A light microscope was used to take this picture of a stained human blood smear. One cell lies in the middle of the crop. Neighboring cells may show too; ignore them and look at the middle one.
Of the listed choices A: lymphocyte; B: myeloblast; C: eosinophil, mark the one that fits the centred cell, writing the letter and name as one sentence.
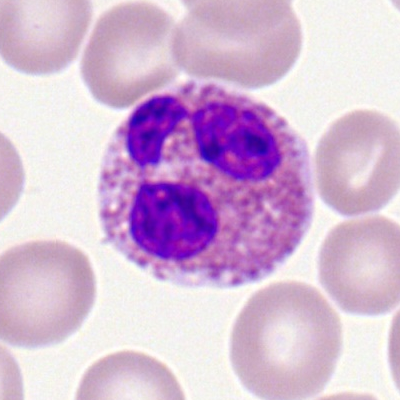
Option C is correct, and the cell in the centre is an eosinophil.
